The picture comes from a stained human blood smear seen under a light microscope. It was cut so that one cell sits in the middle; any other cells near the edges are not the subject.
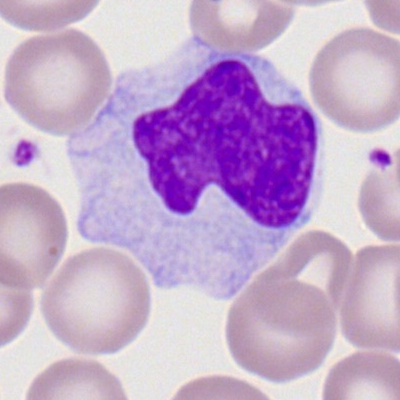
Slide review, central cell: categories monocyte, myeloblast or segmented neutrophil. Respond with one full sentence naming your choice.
Within this crop, a monocyte occupies the central position.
